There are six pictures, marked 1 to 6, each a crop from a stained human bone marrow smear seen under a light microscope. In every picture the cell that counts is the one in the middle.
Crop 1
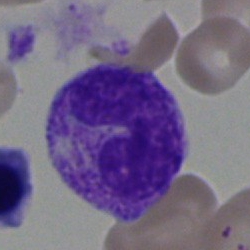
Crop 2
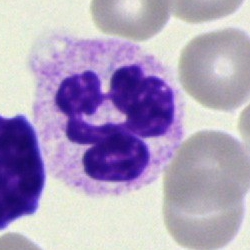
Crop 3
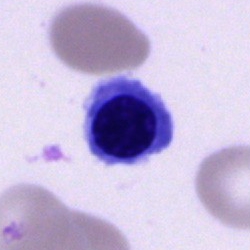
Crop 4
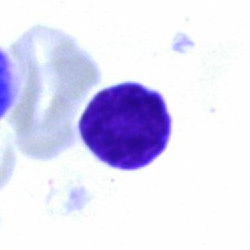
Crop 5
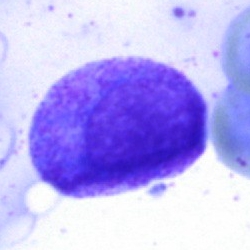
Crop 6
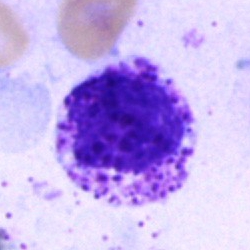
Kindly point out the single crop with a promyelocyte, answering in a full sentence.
In this set, crop 5 is the one showing a promyelocyte.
